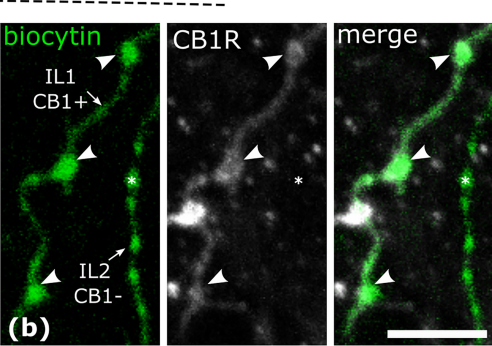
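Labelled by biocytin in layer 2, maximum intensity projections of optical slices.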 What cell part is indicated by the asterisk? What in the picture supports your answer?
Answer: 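The asterisk sits on a small green swelling of a second, thinner fibre. No matching grey spot is present at the asterisk in the middle image. So: boutons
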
